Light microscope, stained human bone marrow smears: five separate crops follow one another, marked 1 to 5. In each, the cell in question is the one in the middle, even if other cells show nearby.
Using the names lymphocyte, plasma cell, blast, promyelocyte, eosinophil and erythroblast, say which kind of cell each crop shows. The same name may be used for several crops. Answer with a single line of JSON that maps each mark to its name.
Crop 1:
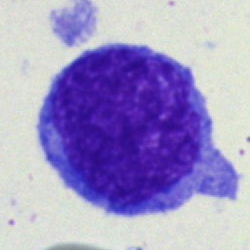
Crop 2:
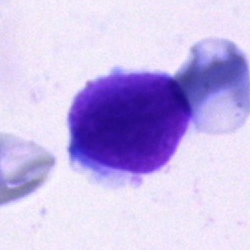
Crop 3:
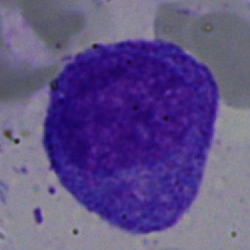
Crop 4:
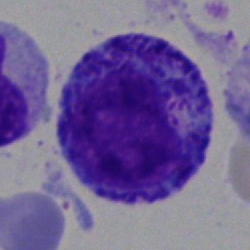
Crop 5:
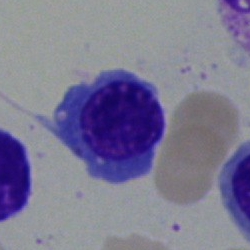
{"1": "blast", "2": "lymphocyte", "3": "promyelocyte", "4": "promyelocyte", "5": "erythroblast"}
